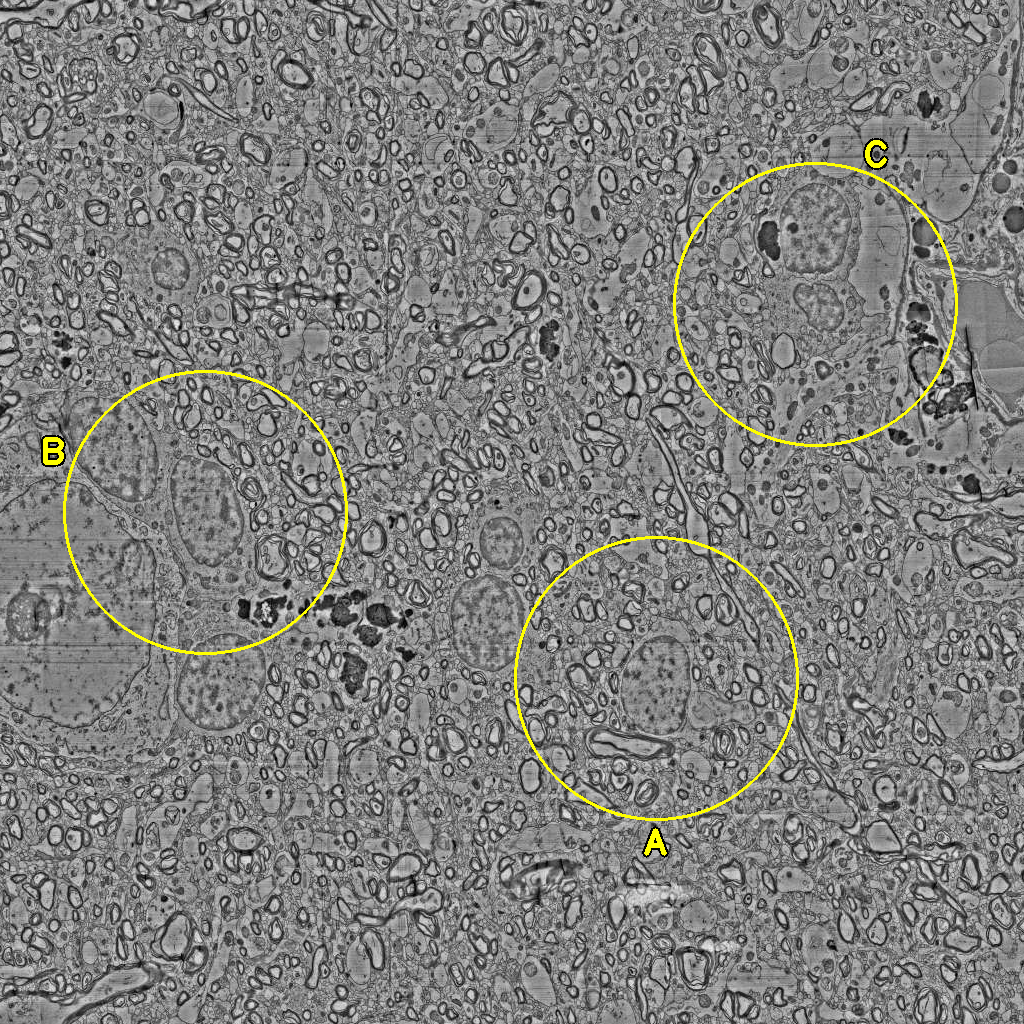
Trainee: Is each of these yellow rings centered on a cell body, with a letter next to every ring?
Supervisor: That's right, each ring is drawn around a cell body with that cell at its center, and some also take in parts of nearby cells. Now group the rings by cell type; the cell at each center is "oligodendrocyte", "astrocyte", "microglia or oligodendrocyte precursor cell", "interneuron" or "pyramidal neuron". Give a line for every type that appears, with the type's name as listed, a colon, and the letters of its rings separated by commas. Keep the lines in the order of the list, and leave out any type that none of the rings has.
oligodendrocyte: B, C
microglia or oligodendrocyte precursor cell: A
